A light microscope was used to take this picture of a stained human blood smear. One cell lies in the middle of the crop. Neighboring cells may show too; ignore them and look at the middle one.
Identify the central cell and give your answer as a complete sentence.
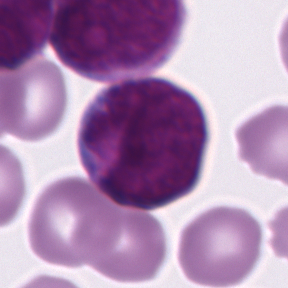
To answer, the cell in the center of the crop is a myeloblast.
